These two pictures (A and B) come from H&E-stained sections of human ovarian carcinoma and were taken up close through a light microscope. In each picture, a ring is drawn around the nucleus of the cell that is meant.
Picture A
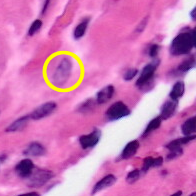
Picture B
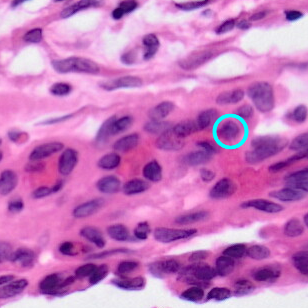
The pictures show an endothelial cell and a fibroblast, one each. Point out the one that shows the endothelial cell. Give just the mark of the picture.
B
